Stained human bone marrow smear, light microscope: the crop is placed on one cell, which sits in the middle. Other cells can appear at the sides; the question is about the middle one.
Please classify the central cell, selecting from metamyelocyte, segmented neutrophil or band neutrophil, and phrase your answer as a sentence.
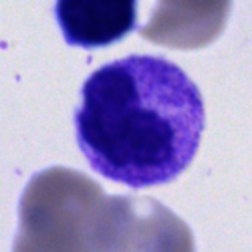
The identification for the central cell is a metamyelocyte.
